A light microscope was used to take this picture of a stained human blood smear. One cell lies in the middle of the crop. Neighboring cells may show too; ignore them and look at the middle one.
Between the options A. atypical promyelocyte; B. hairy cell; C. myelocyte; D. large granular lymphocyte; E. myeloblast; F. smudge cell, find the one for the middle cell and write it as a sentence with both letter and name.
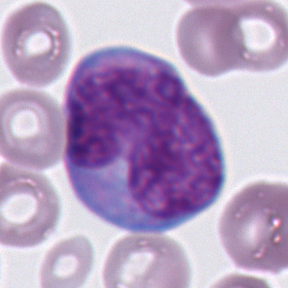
Well, the cell in the middle is an atypical promyelocyte, making option A right.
